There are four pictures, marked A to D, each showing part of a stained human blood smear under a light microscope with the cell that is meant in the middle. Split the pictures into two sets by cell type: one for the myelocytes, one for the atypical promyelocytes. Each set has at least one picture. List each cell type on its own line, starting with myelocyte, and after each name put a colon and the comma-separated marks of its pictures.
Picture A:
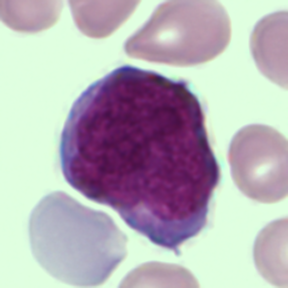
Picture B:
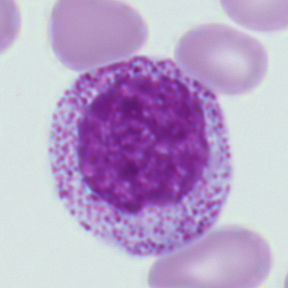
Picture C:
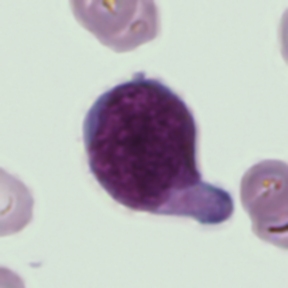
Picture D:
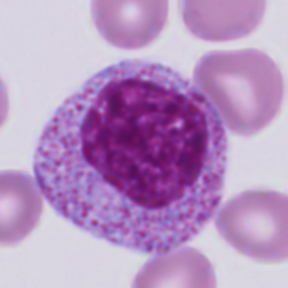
myelocyte: B, D
atypical promyelocyte: A, C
